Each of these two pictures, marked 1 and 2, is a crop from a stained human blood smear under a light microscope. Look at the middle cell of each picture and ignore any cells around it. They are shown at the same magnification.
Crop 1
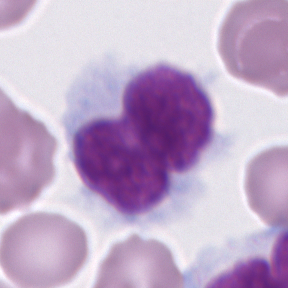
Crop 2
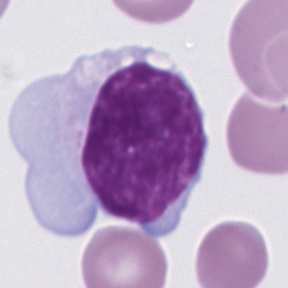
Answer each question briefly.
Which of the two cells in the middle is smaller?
1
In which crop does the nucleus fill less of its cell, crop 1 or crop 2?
2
